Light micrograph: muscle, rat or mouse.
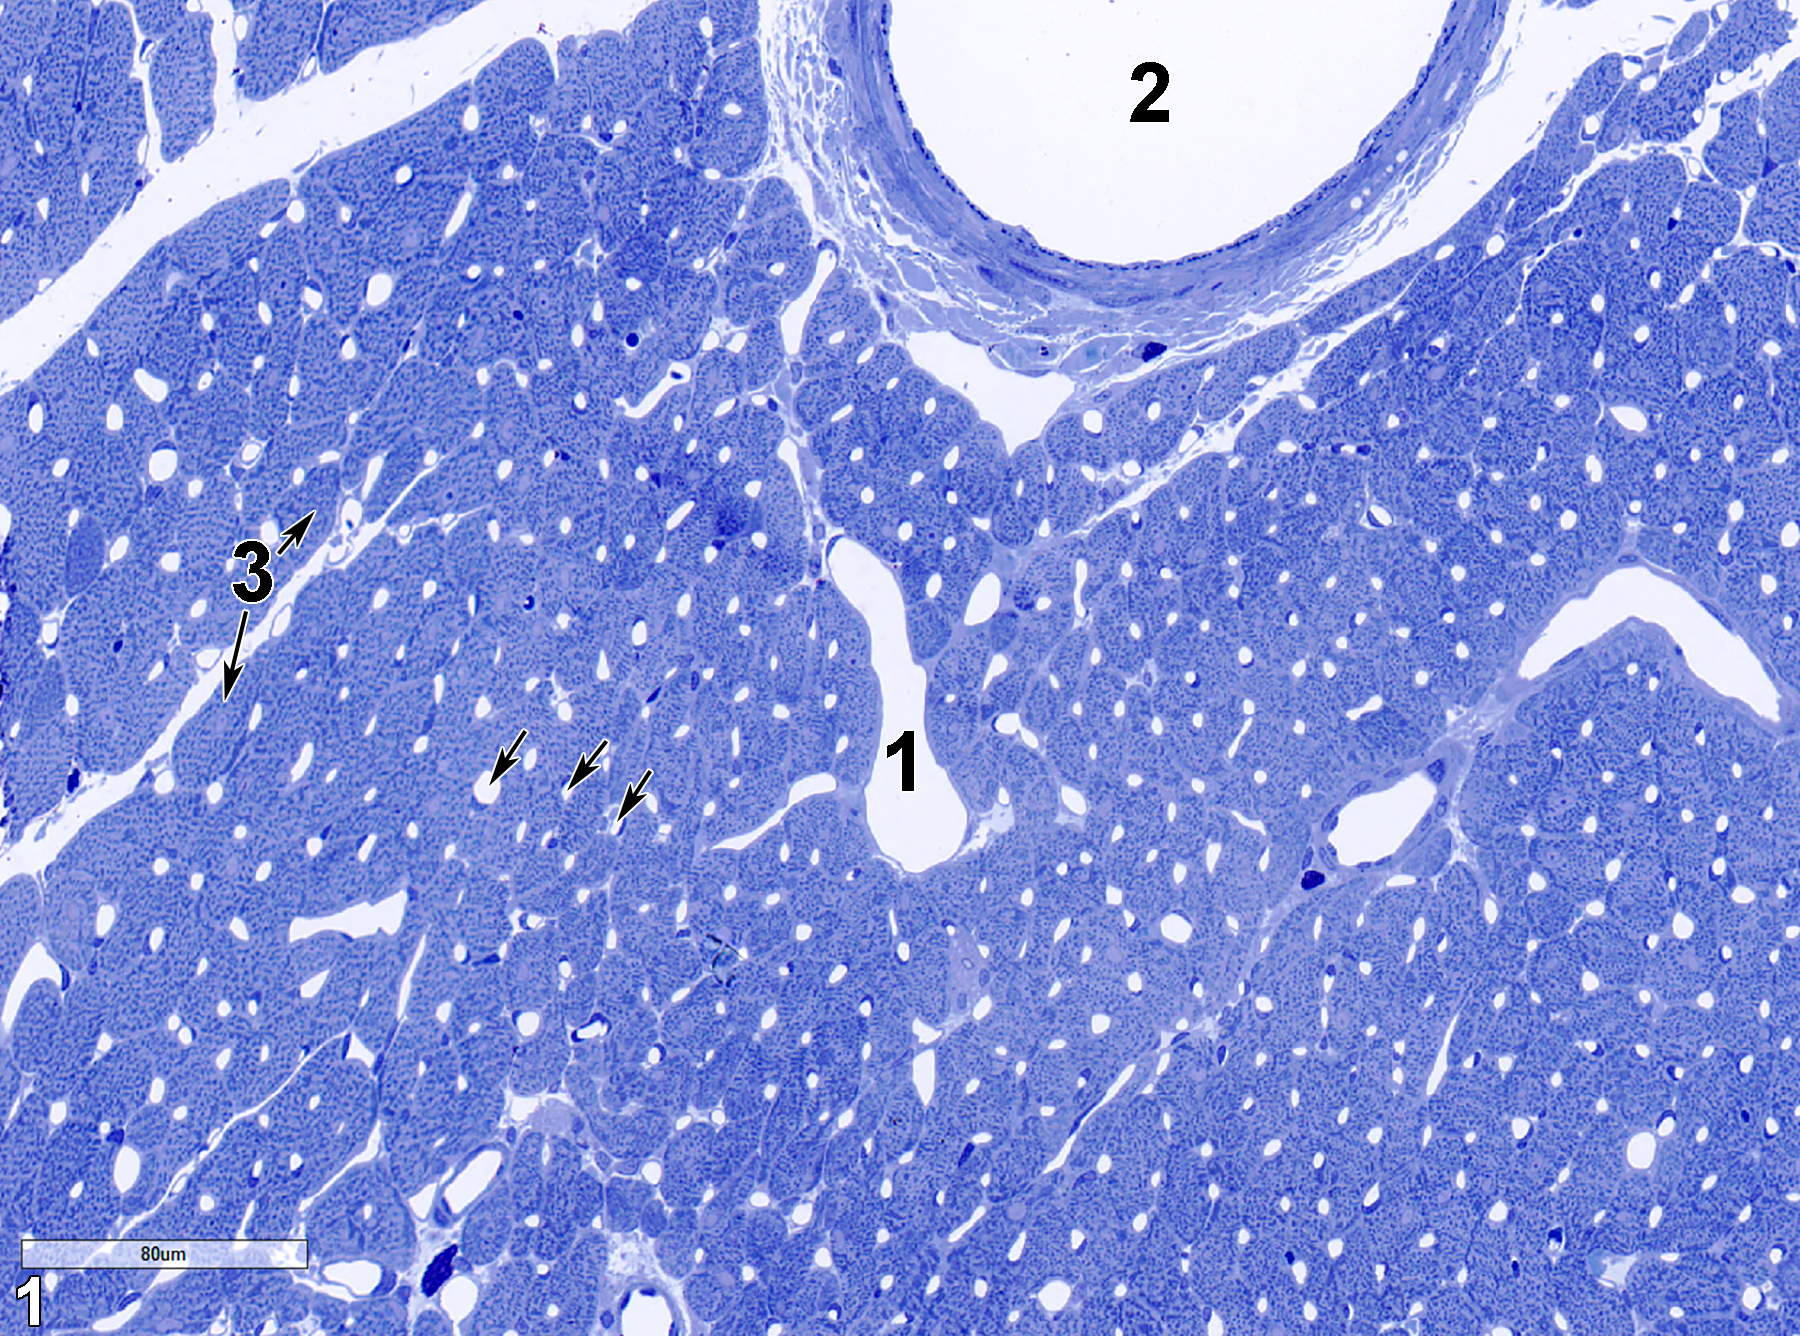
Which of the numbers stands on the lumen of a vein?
It's 1.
